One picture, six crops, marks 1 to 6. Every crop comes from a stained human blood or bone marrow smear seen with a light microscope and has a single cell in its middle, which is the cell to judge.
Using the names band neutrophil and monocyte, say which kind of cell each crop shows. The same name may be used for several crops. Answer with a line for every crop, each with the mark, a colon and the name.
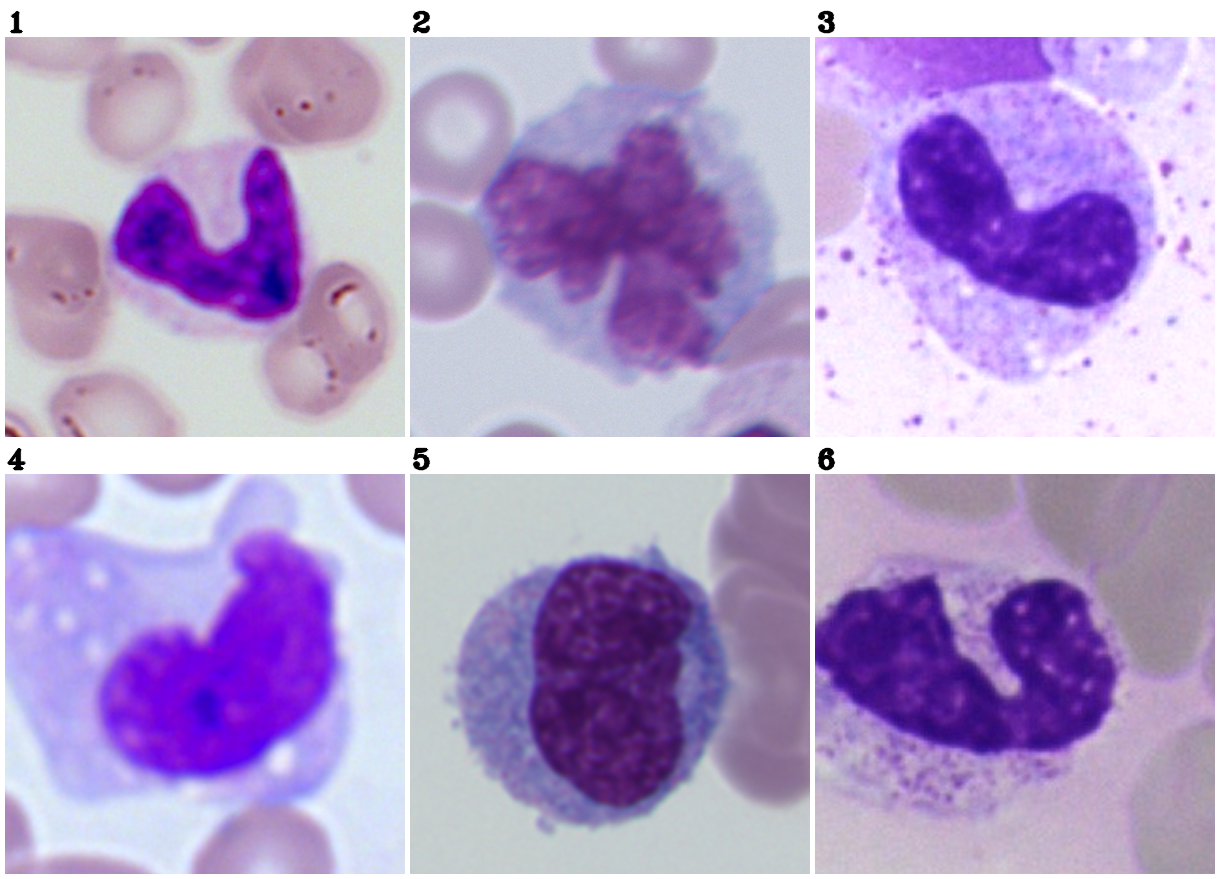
1: band neutrophil
2: monocyte
3: band neutrophil
4: monocyte
5: monocyte
6: band neutrophil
